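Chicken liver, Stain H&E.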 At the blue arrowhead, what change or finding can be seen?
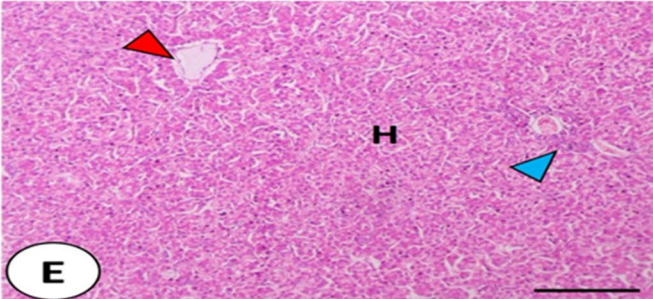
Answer: Perivascular immune cell infiltration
